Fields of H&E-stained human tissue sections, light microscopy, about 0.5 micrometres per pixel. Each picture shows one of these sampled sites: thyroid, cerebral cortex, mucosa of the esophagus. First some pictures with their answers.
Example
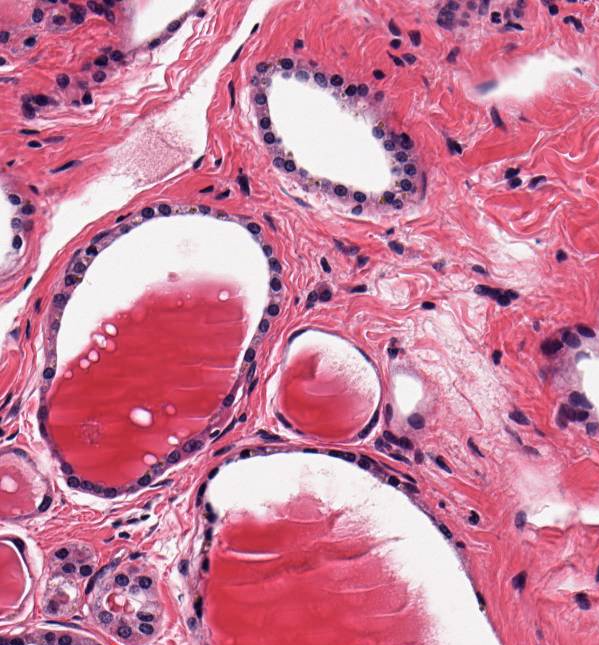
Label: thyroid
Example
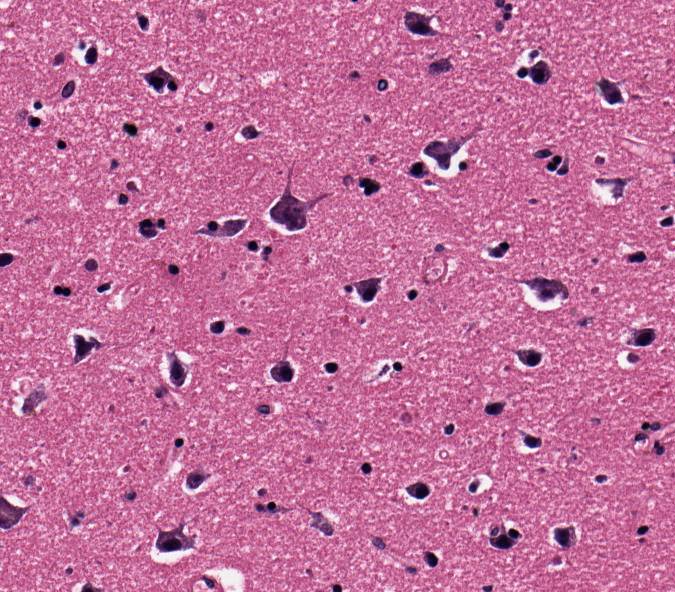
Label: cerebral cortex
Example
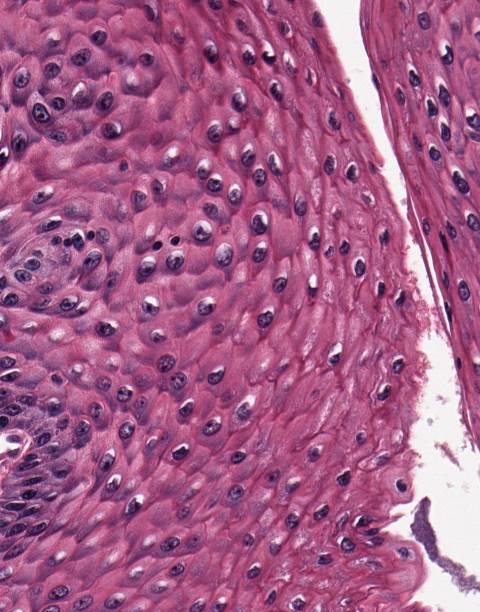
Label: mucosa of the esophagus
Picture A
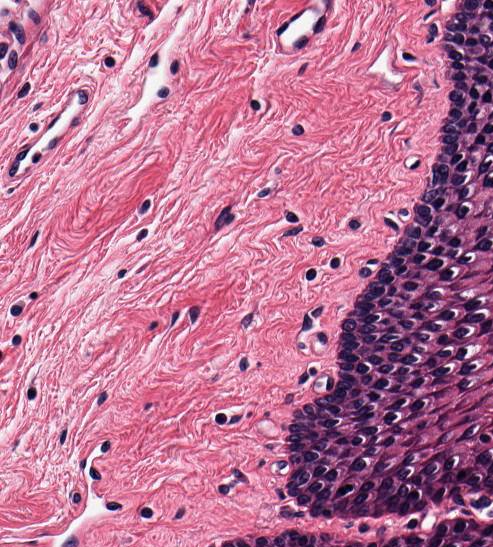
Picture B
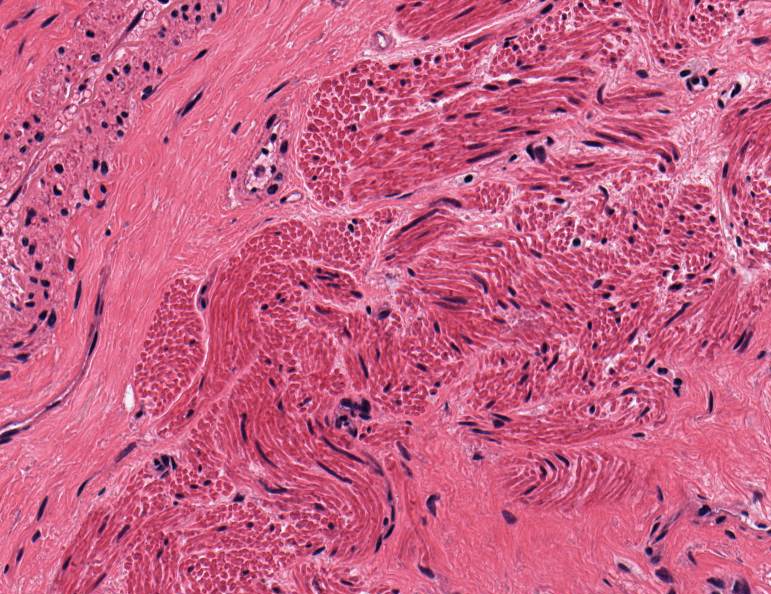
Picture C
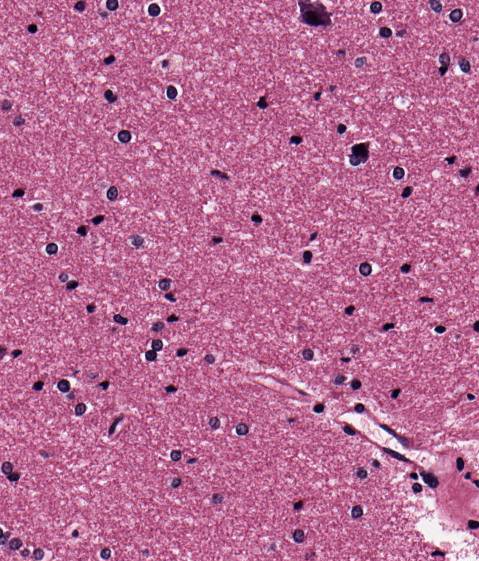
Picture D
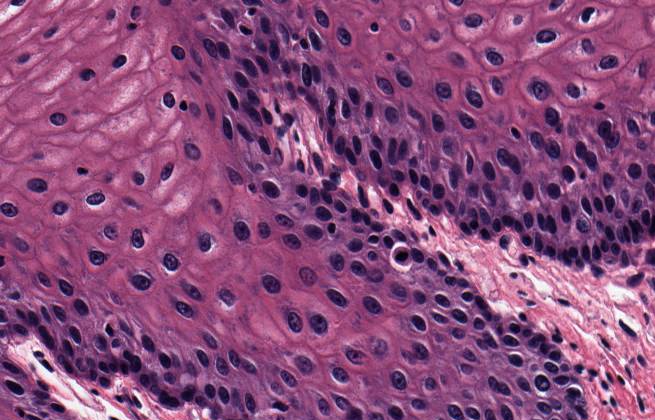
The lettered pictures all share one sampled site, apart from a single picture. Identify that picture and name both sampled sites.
C (cerebral cortex) is the exception; every other picture is mucosa of the esophagus.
